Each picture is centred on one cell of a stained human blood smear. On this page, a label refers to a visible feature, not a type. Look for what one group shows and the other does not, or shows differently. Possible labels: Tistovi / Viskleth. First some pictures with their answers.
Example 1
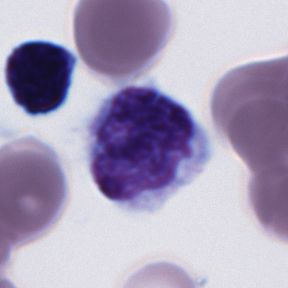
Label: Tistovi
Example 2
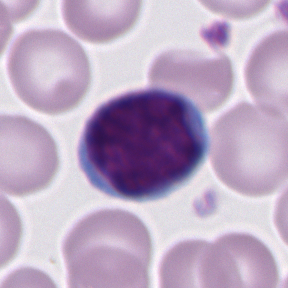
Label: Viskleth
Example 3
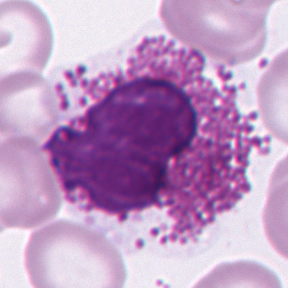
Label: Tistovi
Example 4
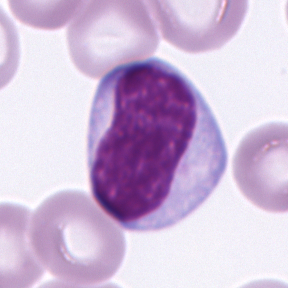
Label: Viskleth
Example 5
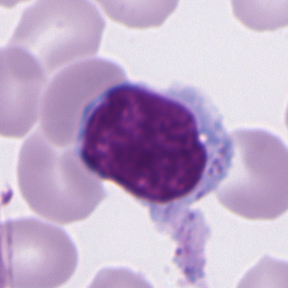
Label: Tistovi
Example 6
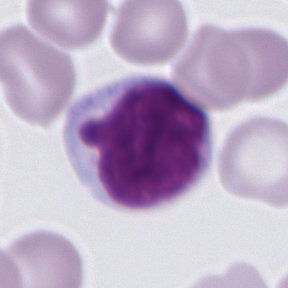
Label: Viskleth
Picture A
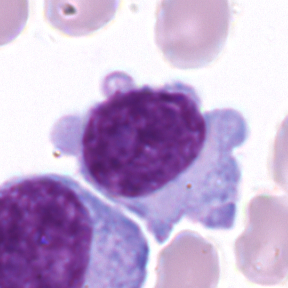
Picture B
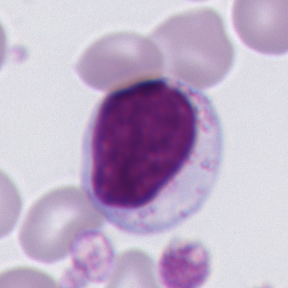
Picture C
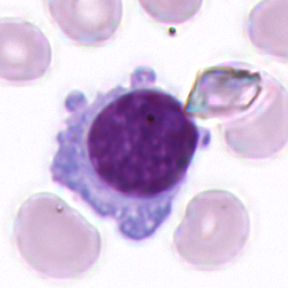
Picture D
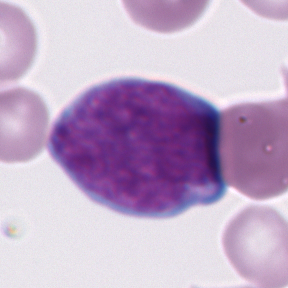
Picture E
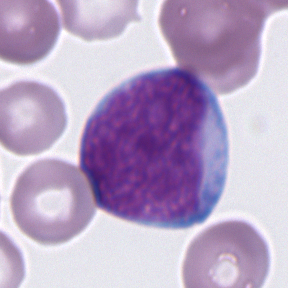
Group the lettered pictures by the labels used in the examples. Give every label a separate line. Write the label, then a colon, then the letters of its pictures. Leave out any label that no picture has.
Tistovi: A, C
Viskleth: B, D, E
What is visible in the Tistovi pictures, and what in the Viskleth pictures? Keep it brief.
Seen in Tistovi: ragged outline or projections; seen in Viskleth: smooth outline.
